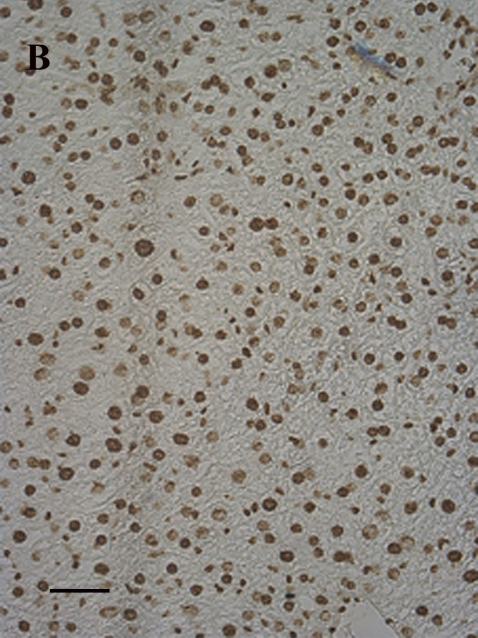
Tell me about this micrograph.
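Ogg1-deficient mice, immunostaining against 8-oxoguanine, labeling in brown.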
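Liver tissue with hepatocytes arranged as a continuous sheet. The hepatocytes have large round nuclei, many stained dark brown, evenly spaced through pale grey cytoplasm with faint cell borders. Between them lie smaller, elongated or oval nuclei, also brown, consistent with cells lining the sinusoids. Some hepatocyte nuclei show a paler centre with a darker rim. The background cytoplasm is largely unstained, so the nuclei stand out sharply. No layered or glandular architecture is seen; a small bluish fleck lies near the upper right.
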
